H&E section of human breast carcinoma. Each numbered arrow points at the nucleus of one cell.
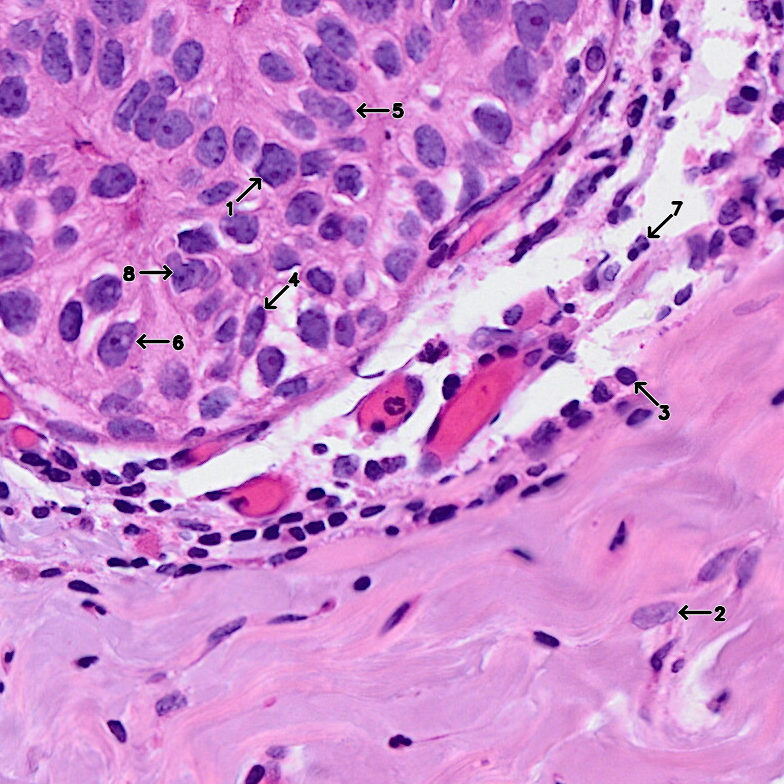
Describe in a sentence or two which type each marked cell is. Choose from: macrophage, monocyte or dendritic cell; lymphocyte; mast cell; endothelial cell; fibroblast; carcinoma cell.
Cells 1, 4, 5, 6 and 8 are carcinoma cells. Cell 2 is a fibroblast. Cells 3 and 7 are lymphocytes.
